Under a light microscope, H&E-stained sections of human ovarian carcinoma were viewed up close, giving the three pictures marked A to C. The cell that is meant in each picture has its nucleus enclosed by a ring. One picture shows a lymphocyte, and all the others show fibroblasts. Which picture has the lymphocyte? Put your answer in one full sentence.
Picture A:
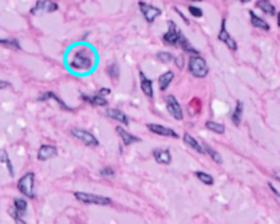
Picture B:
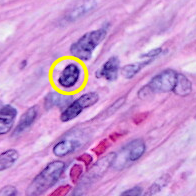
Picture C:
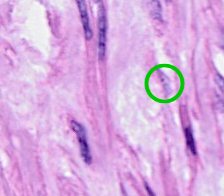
Picture B shows the lymphocyte.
